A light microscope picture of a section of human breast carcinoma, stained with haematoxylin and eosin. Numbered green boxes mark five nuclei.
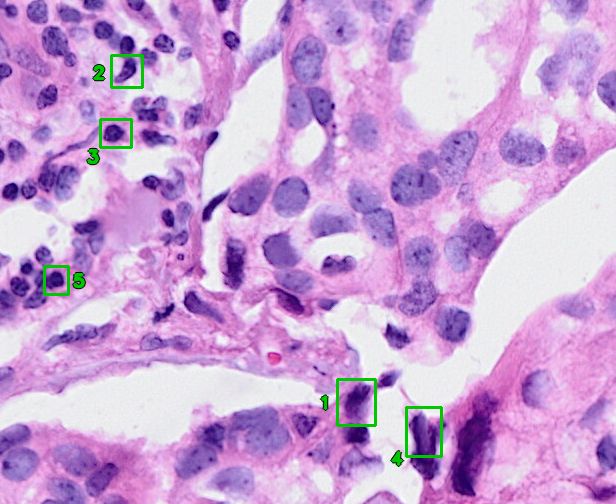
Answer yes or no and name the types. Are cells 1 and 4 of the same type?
Yes, both are carcinoma cells.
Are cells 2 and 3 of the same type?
Yes, both are lymphocytes.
